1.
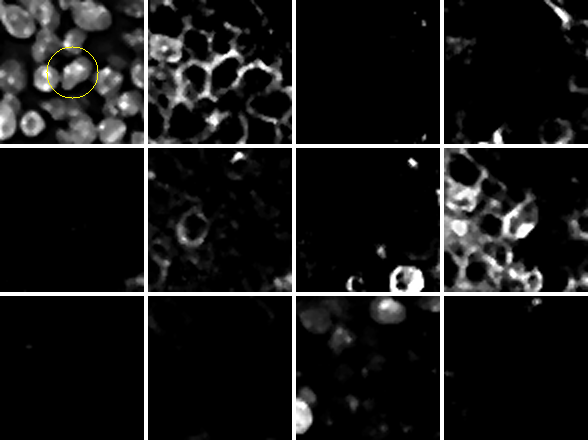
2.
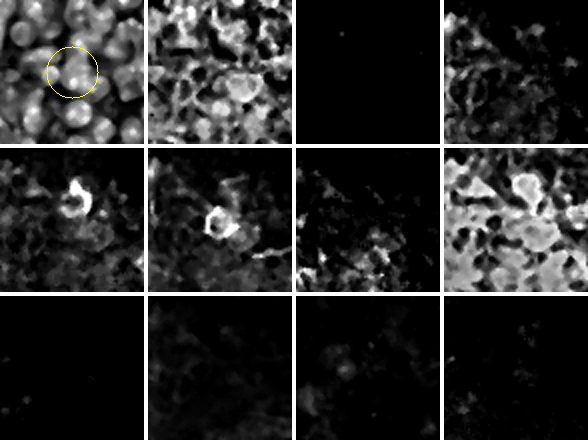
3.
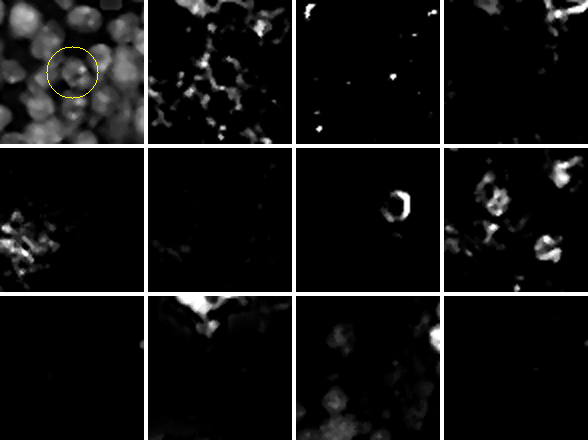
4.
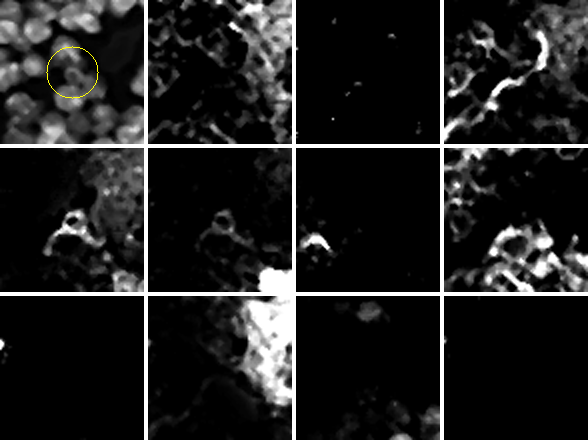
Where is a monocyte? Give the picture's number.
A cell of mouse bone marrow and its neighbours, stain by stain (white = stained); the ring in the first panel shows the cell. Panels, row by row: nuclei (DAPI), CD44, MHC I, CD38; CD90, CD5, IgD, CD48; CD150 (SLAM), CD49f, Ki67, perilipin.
1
